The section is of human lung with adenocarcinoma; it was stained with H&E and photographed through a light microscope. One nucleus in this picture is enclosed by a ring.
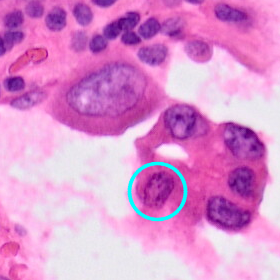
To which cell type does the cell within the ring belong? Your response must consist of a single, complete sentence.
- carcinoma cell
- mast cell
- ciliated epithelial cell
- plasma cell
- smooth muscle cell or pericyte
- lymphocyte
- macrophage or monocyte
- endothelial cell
In the tissue under study, the cell within the ring is a carcinoma cell.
